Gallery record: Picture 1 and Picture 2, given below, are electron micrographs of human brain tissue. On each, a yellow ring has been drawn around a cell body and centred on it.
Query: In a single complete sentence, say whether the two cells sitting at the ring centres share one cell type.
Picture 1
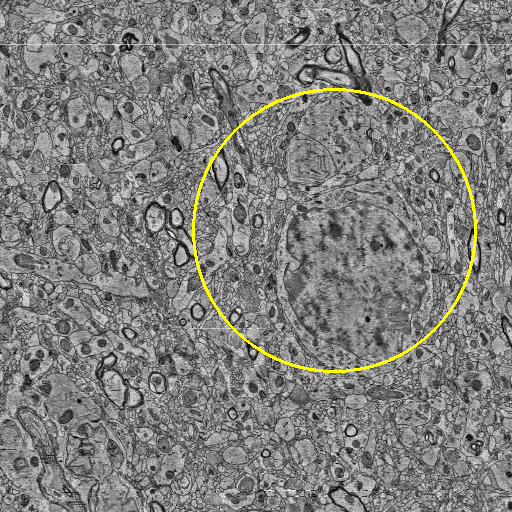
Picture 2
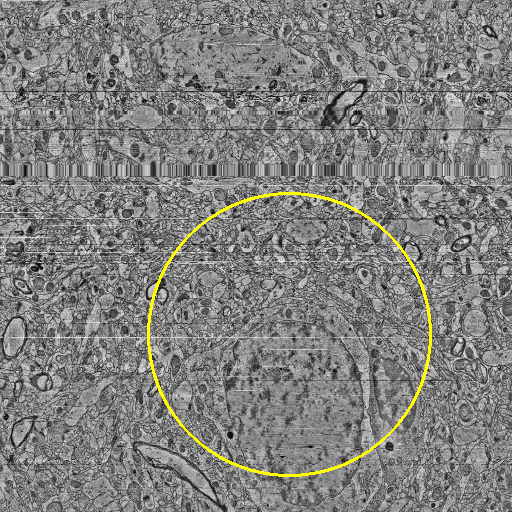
Yes, in both pictures the cell at the ring's centre is of one and the same type.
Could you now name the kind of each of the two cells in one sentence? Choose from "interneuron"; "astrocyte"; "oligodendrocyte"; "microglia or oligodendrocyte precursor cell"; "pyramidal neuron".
The second cell is an interneuron, just as the first is.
